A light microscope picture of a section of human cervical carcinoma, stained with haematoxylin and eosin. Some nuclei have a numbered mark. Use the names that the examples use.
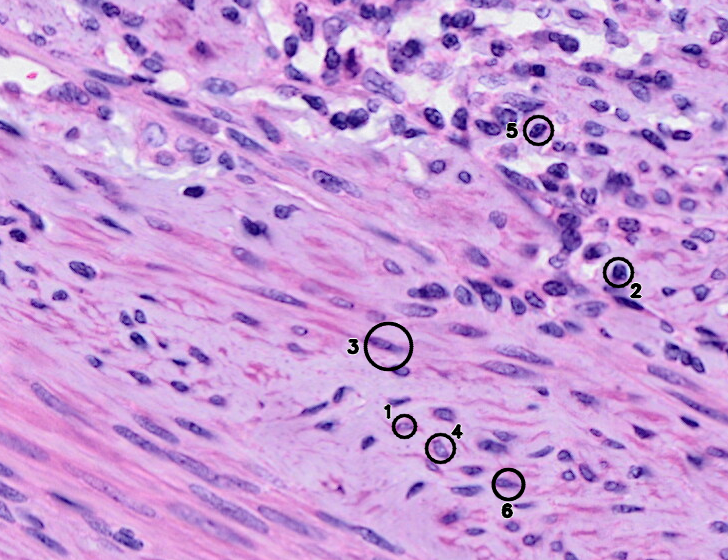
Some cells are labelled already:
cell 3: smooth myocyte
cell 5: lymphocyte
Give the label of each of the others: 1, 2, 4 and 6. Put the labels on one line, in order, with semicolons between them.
smooth myocyte; lymphocyte; smooth myocyte; smooth myocyte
